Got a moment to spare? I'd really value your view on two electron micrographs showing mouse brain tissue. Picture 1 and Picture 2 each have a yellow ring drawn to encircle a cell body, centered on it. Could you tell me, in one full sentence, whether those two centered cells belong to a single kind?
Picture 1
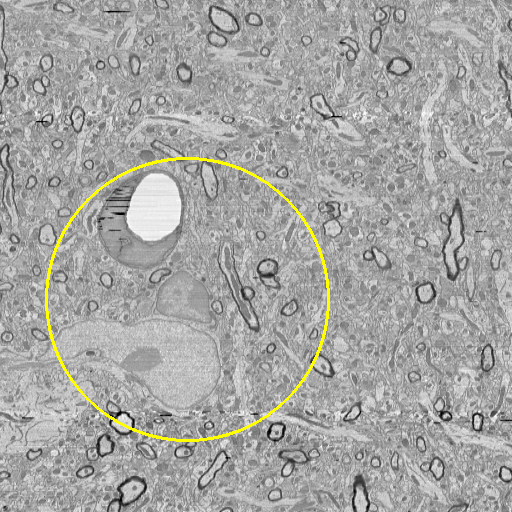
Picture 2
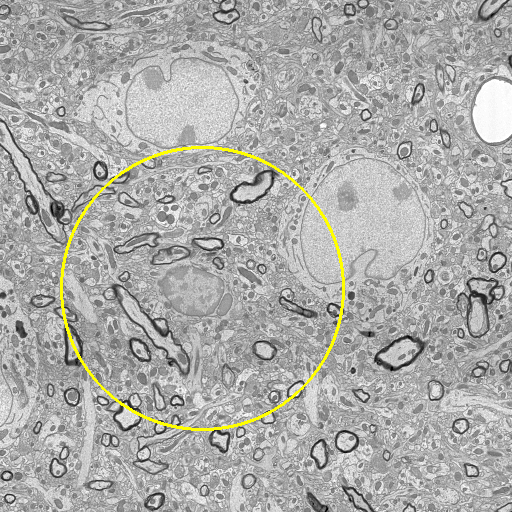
Yes, the two centered cells in Picture 1 and Picture 2 are of a single kind.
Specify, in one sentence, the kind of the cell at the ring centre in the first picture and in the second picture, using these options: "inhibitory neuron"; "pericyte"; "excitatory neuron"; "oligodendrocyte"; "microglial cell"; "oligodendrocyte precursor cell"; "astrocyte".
The cell in the first picture is a microglial cell, and so is the one in the second.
